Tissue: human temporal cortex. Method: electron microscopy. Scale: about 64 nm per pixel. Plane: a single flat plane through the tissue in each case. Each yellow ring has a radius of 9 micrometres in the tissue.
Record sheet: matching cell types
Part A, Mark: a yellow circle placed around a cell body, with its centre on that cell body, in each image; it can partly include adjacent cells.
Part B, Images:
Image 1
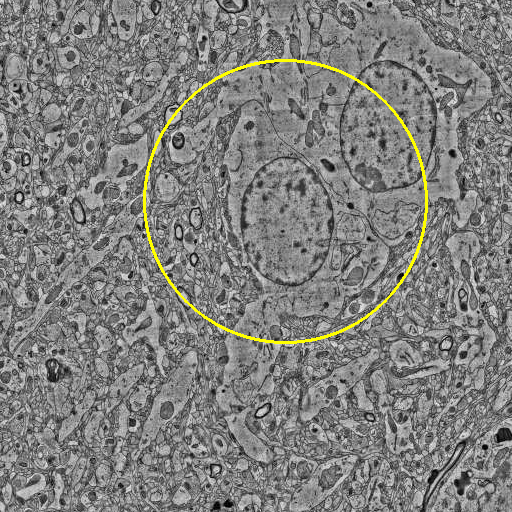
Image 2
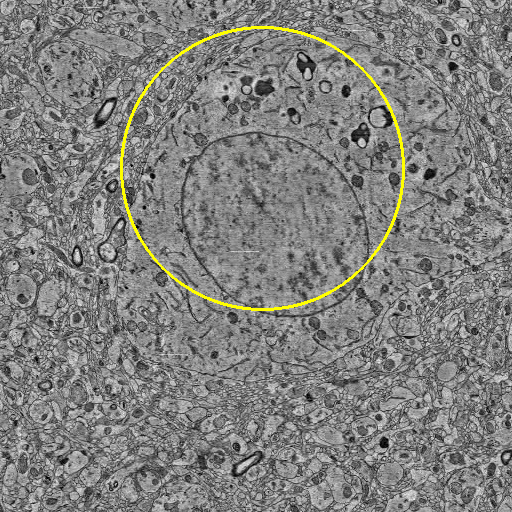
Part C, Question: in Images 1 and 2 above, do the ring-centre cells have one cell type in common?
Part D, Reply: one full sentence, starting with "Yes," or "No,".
No, the ring-centre cells of Image 1 and Image 2 are each of a separate cell type.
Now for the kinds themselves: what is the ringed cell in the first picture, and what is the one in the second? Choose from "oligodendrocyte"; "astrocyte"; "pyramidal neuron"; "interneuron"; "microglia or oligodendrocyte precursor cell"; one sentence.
Here the first cell is an astrocyte and the second cell is a pyramidal neuron.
